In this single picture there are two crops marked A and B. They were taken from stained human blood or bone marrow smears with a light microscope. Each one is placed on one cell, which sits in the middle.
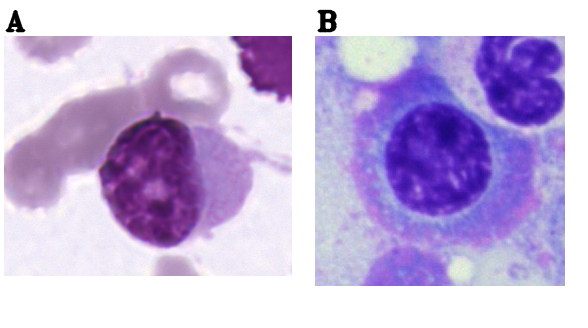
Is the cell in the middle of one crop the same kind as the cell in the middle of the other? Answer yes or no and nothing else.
yes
